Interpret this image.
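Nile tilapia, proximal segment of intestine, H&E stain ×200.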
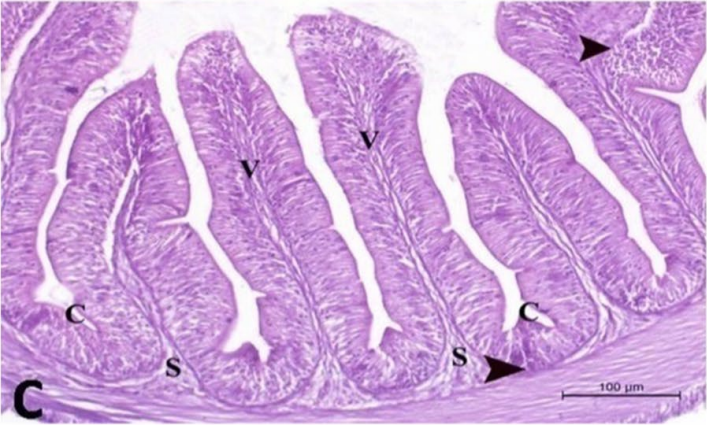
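A thin pale core of connective tissue runs up the middle of each villus. At the base the folds rest on a loose submucosa, with a band of smooth muscle curving along the bottom edge, and a cluster of small, densely packed cells lies in one fold near the upper right.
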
